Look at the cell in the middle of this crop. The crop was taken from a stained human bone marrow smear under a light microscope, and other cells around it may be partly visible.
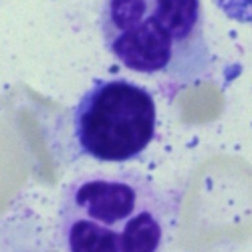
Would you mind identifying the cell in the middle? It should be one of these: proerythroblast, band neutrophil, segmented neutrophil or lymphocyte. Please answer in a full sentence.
For this crop, the cell in the middle is a lymphocyte.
